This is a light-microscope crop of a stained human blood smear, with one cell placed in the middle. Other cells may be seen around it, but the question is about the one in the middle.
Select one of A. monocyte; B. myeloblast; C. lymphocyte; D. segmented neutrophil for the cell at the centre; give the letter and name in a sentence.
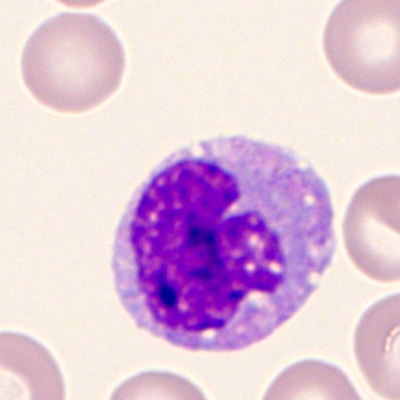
Option A holds up: the cell in the middle is a monocyte.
